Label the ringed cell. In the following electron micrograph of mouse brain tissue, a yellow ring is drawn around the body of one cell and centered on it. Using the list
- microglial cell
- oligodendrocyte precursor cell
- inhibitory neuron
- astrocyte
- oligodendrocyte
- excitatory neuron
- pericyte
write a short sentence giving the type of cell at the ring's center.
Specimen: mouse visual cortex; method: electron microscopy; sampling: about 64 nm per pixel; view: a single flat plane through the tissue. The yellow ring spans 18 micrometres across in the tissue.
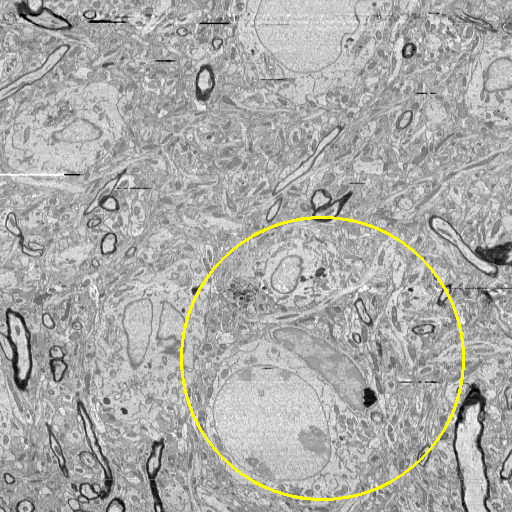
The cell body at the ring's center is that of a microglial cell.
